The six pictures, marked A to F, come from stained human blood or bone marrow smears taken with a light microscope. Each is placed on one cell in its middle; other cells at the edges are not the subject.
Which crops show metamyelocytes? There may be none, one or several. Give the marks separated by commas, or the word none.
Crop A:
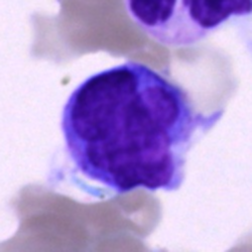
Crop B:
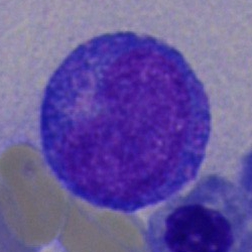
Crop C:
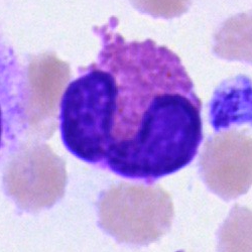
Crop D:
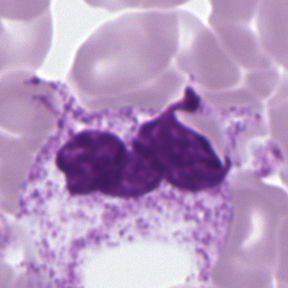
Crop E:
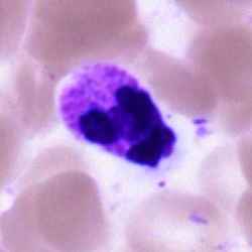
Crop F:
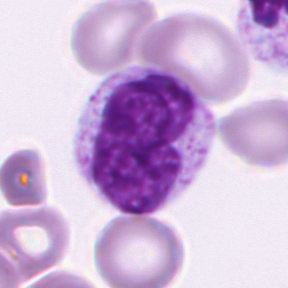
F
